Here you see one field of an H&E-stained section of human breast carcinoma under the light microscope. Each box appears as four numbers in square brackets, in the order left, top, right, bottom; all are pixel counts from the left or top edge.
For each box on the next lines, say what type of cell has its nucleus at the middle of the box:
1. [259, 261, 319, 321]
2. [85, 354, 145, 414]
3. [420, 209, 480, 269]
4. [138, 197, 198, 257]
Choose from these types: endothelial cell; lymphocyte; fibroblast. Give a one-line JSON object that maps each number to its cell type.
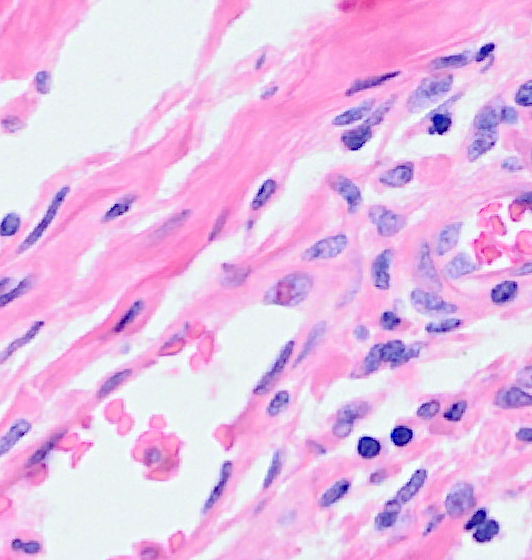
{"1": "endothelial cell", "2": "endothelial cell", "3": "endothelial cell", "4": "fibroblast"}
